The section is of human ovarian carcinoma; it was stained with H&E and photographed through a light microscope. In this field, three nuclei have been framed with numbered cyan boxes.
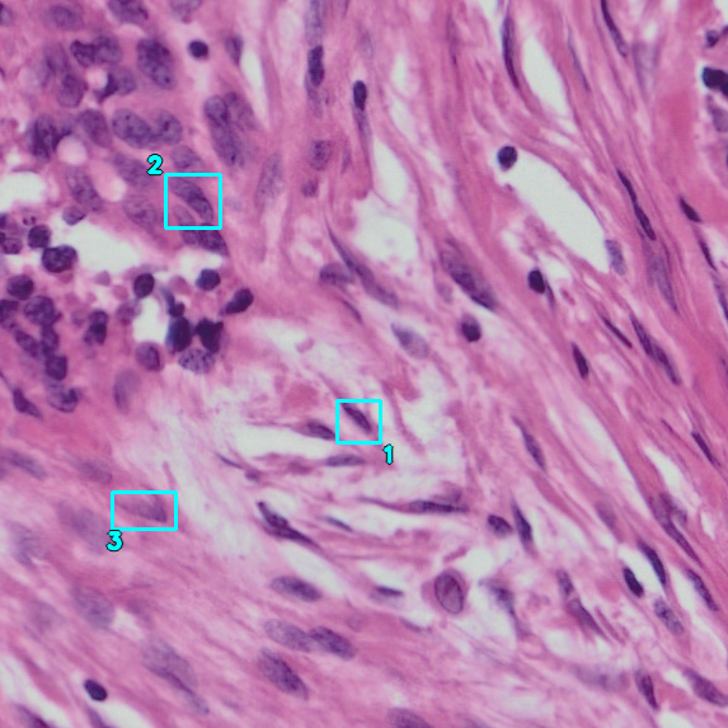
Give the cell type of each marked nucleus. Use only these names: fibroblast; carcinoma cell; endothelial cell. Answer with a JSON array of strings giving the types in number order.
["fibroblast", "carcinoma cell", "fibroblast"]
